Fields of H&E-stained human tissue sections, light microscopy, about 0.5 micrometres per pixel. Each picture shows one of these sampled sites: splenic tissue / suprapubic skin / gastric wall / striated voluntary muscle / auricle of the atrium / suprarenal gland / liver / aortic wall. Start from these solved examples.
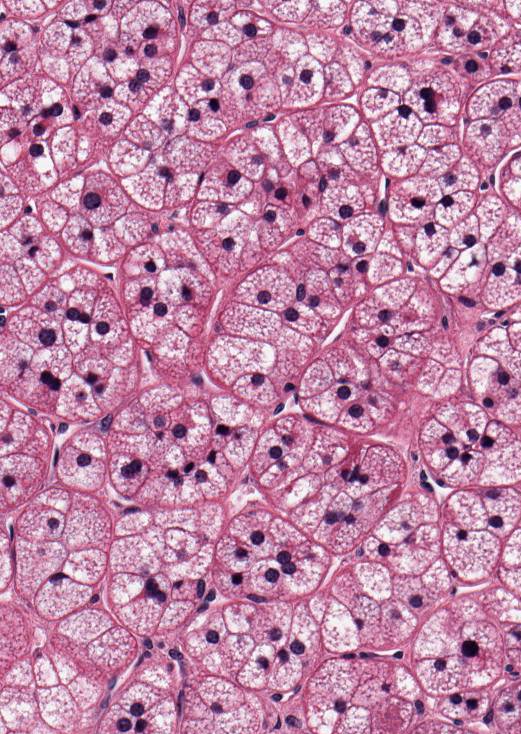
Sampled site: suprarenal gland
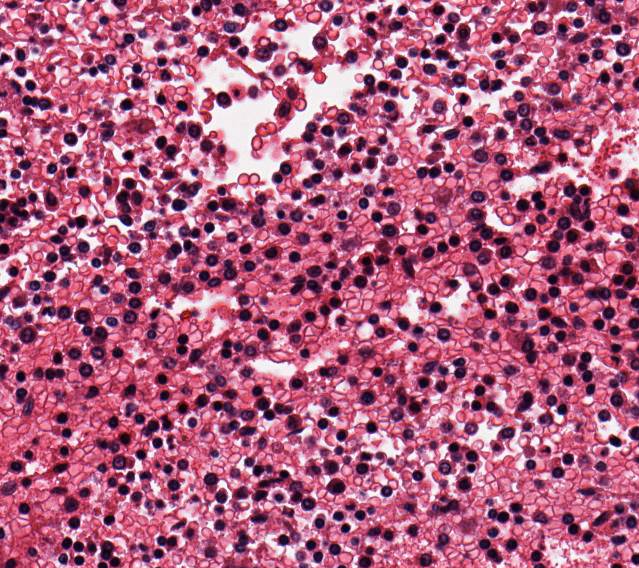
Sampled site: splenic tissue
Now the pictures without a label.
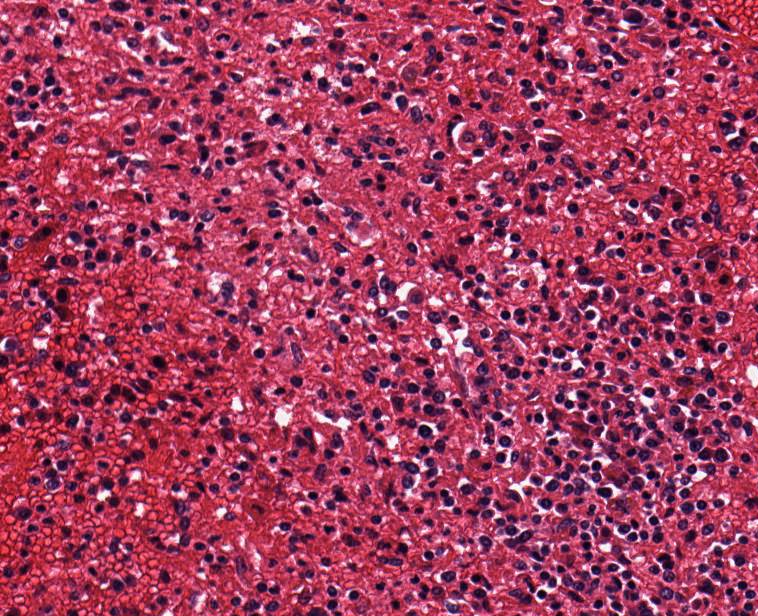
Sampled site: splenic tissue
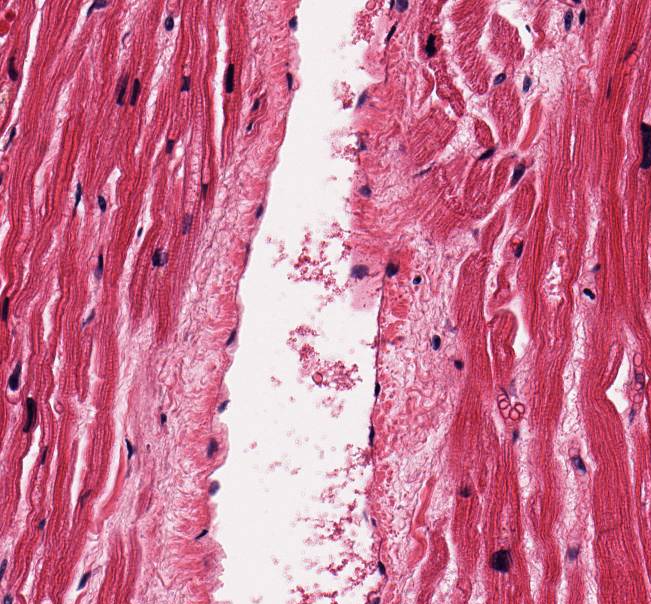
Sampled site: auricle of the atrium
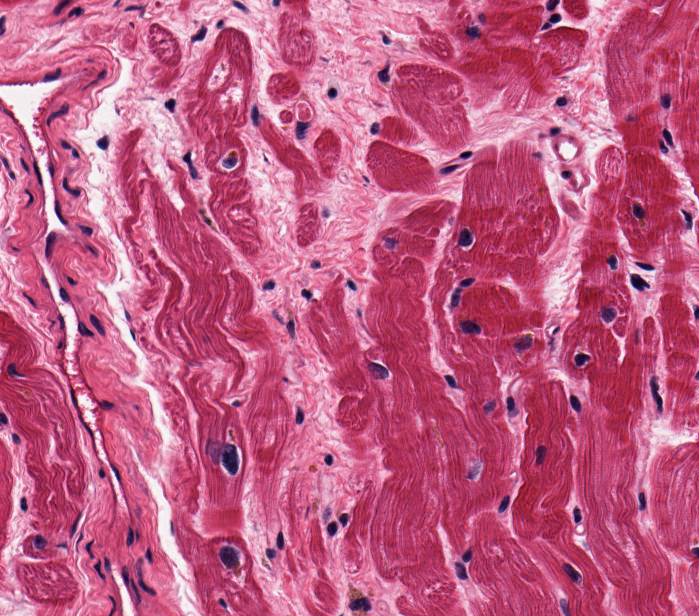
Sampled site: auricle of the atrium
